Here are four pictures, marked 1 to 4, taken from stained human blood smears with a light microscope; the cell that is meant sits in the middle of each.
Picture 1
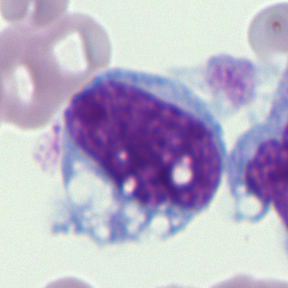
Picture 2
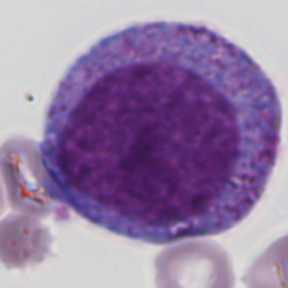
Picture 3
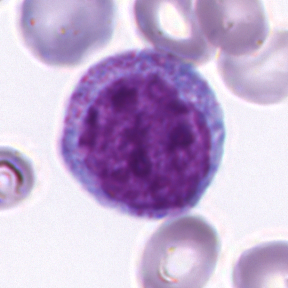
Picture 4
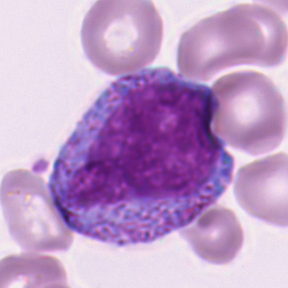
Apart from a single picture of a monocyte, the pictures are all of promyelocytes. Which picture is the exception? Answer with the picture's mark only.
1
